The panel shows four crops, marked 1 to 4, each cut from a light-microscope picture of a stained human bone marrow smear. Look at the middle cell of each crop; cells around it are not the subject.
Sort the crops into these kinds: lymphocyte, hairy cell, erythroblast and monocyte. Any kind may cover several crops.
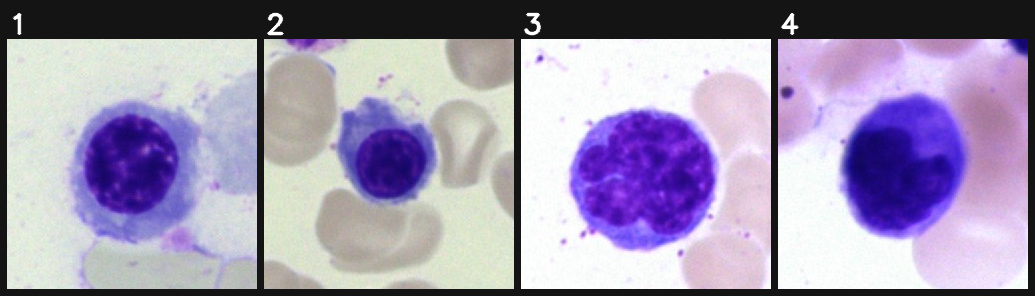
1: erythroblast
2: erythroblast
3: monocyte
4: monocyte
